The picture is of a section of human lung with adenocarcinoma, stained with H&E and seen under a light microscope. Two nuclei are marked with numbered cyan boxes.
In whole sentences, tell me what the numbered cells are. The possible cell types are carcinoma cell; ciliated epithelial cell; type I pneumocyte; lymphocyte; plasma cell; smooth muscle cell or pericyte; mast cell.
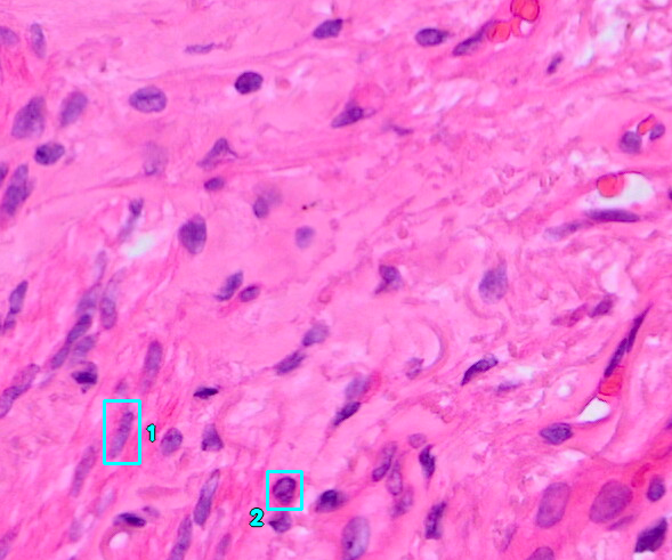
Cell 1 is a smooth muscle cell or pericyte and cell 2 is a mast cell.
